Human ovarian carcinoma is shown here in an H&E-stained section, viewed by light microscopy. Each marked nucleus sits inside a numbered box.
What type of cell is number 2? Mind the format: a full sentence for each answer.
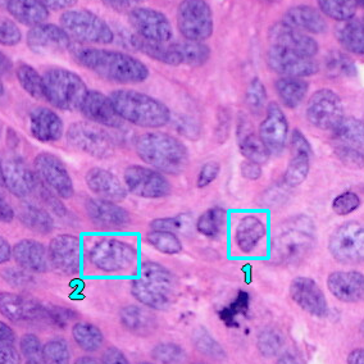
The cell numbered 2 represents a carcinoma cell.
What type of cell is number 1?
The numbered cell 1 is identified here as a macrophage or monocyte.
